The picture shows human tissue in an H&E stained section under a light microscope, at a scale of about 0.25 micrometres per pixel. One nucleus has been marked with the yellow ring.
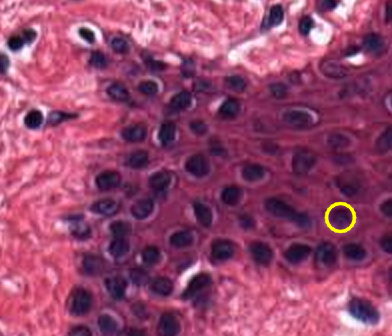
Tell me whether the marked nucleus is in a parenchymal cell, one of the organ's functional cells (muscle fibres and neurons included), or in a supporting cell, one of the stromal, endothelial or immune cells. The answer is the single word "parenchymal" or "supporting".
parenchymal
